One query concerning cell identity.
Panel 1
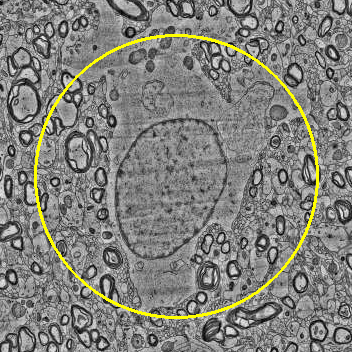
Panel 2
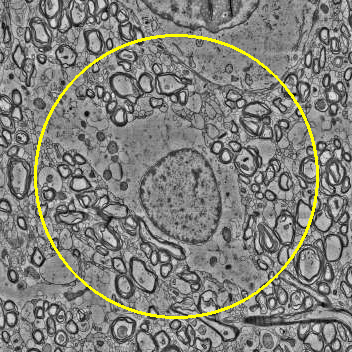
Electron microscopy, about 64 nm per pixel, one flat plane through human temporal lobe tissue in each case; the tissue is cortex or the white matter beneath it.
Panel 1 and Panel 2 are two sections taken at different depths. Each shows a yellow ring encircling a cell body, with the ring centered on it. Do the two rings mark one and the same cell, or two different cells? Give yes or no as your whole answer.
no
